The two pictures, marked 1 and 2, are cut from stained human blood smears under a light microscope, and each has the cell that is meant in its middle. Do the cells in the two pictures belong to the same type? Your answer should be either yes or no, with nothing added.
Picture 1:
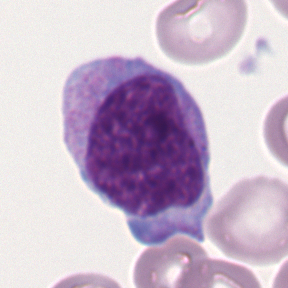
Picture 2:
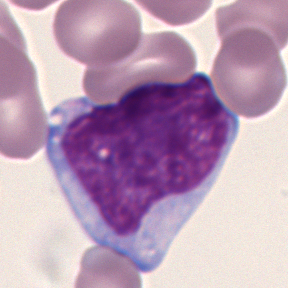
no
